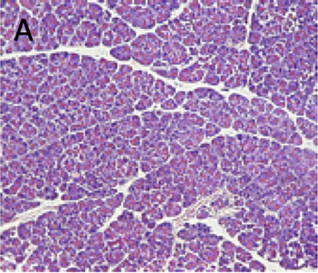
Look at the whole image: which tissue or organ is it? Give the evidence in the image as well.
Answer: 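Normal pancreas. Lobules separated by thin pale septa.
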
